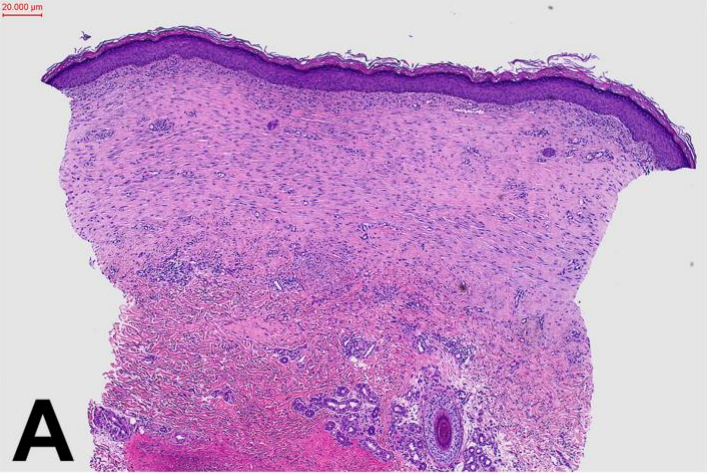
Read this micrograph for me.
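Skin with a thin, flattened regenerative epidermis lacking rete ridges, overlying a broad zone of superficial to mid-dermal scarring. The scar is made of pale pink collagen with many spindle-shaped fibroblast nuclei running parallel to the surface, with a few small vessels and scattered lymphocytes. Below it the deeper dermis keeps its normal coarse collagen, glands and a hair follicle.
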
